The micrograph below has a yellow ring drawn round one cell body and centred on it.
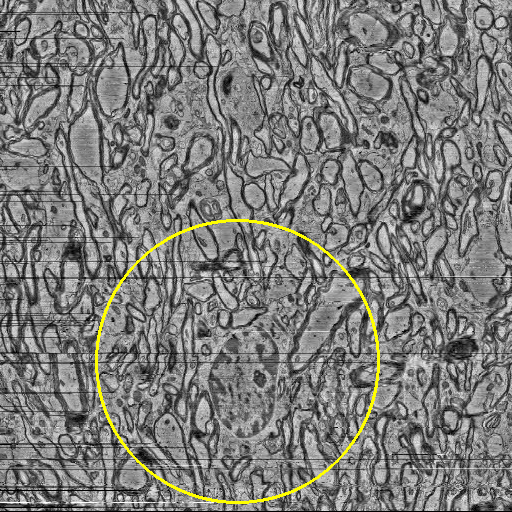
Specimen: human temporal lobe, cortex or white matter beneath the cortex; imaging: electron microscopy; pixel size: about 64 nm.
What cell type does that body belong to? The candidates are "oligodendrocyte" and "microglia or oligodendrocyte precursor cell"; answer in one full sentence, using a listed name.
This is a microglial cell or oligodendrocyte precursor cell, the cell whose body lies at the centre of the ring.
